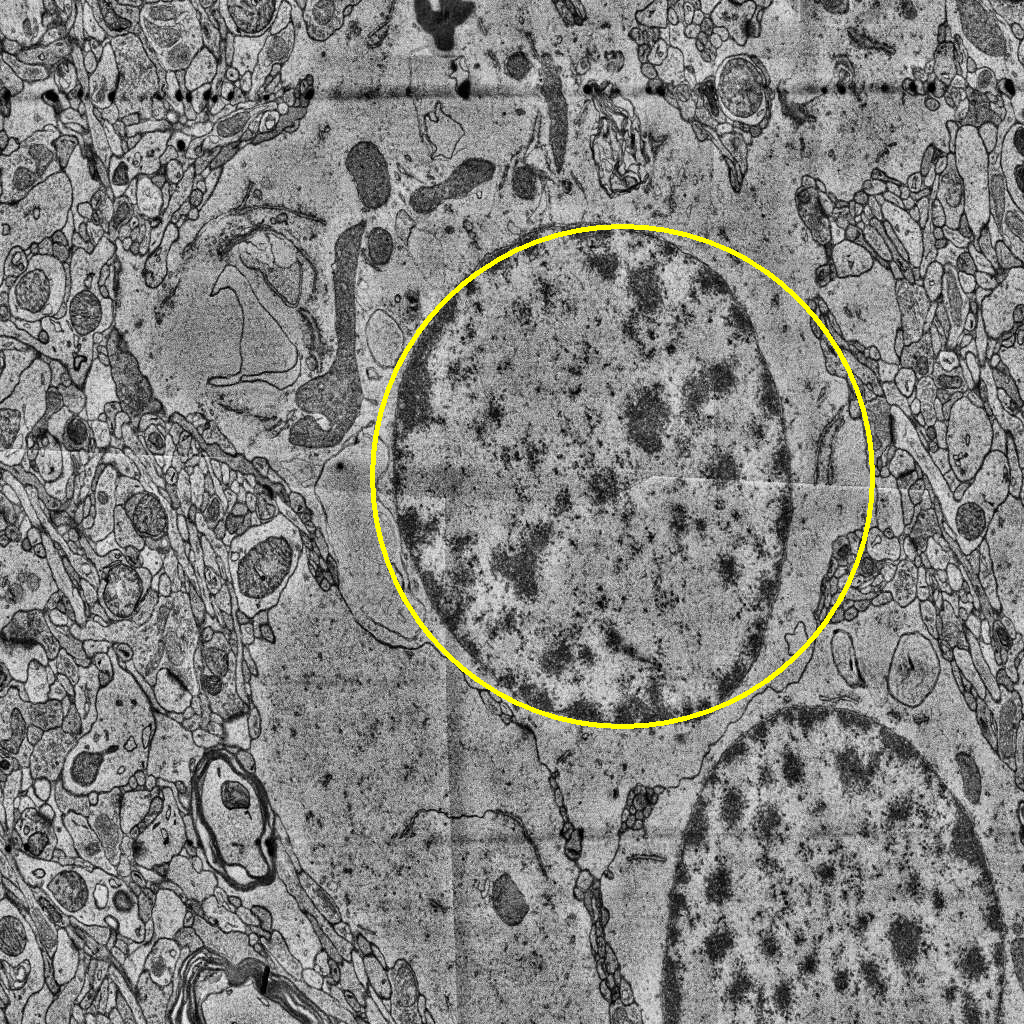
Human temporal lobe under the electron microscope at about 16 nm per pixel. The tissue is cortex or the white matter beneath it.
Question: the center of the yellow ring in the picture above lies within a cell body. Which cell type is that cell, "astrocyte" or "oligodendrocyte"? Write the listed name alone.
astrocyte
